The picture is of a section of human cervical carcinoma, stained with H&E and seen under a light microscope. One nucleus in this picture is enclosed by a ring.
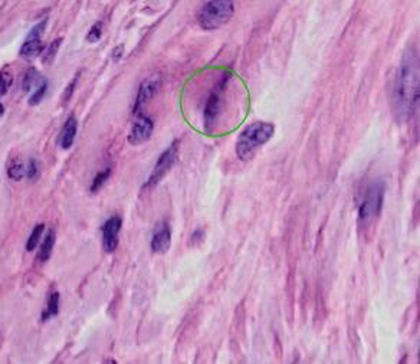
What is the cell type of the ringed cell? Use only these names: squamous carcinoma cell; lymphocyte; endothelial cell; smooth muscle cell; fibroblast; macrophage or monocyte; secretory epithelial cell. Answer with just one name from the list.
macrophage or monocyte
